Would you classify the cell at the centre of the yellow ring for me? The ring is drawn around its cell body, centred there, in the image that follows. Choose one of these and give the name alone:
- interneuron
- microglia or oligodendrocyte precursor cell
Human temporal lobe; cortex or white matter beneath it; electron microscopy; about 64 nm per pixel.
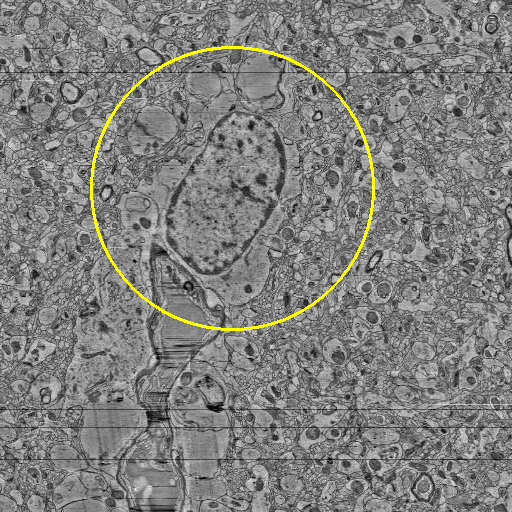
microglia or oligodendrocyte precursor cell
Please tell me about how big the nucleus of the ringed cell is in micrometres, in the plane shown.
About 11 by 7 micrometres, the nucleus being clearly longer than it is wide in this plane.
